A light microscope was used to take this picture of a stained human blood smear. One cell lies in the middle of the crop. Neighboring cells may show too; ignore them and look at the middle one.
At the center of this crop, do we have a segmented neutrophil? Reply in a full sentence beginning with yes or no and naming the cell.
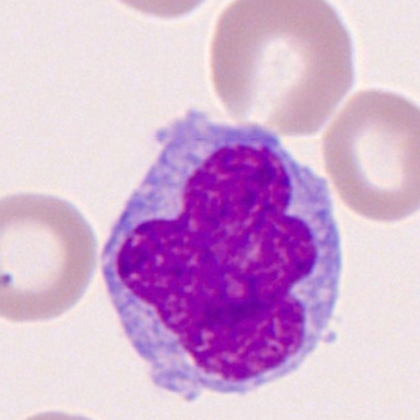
No, that is not a segmented neutrophil; the middle cell is a monocyte.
